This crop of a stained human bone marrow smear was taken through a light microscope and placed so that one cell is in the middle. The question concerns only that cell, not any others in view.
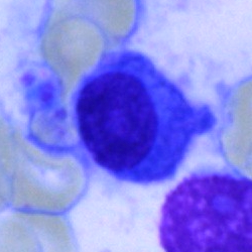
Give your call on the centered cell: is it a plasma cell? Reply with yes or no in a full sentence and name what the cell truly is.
Yes, the identity of the central cell is that of a plasma cell.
